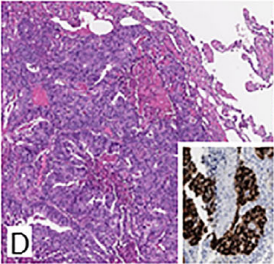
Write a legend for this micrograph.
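Carcinoma within lung tissue. Crowded atypical epithelial cells with dark purple, enlarged nuclei form irregular glandular and solid structures filling most of the field, separated by small vessels and scattered red blood cells. At the upper right, loose pink alveolated lung parenchyma with thin septa is seen beside the tumour.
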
